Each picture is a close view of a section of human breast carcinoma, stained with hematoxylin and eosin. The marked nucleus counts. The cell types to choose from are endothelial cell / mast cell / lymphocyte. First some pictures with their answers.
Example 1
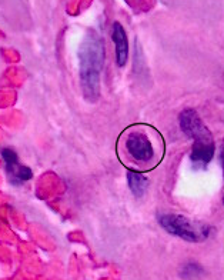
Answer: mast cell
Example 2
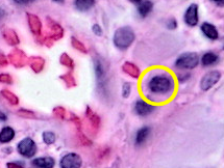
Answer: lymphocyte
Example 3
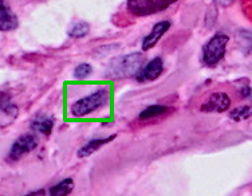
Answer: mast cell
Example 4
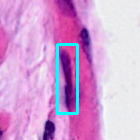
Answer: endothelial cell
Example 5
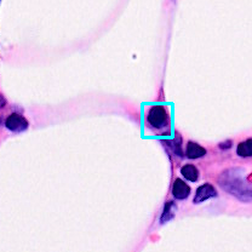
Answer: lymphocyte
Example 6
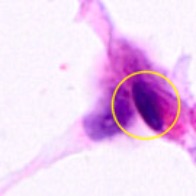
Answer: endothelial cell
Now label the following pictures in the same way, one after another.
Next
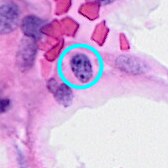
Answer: mast cell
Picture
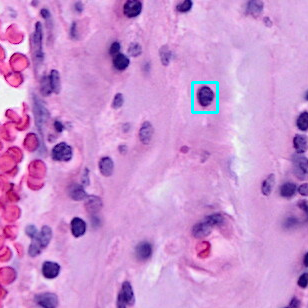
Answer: lymphocyte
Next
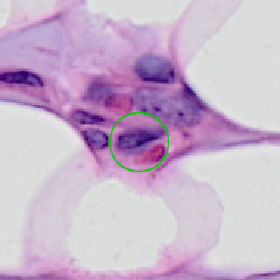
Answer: endothelial cell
